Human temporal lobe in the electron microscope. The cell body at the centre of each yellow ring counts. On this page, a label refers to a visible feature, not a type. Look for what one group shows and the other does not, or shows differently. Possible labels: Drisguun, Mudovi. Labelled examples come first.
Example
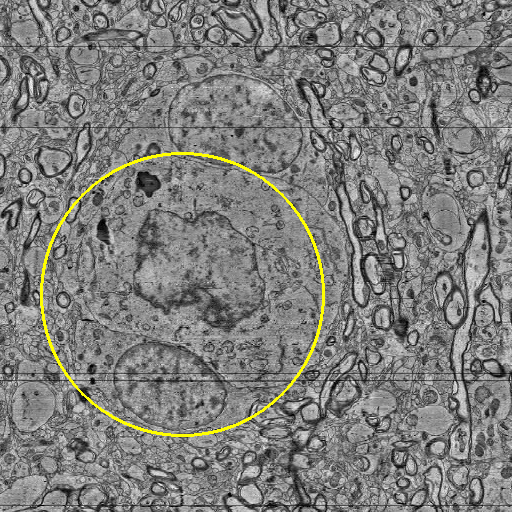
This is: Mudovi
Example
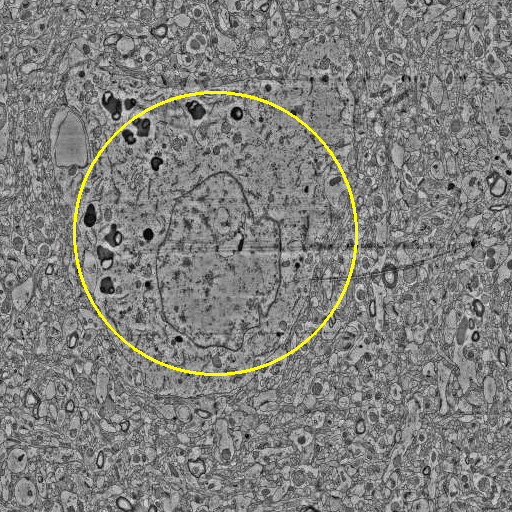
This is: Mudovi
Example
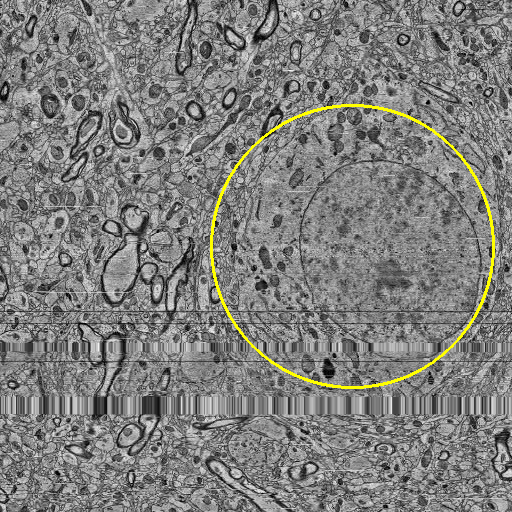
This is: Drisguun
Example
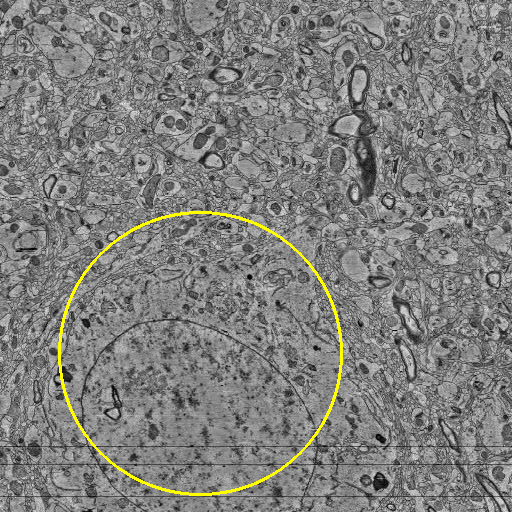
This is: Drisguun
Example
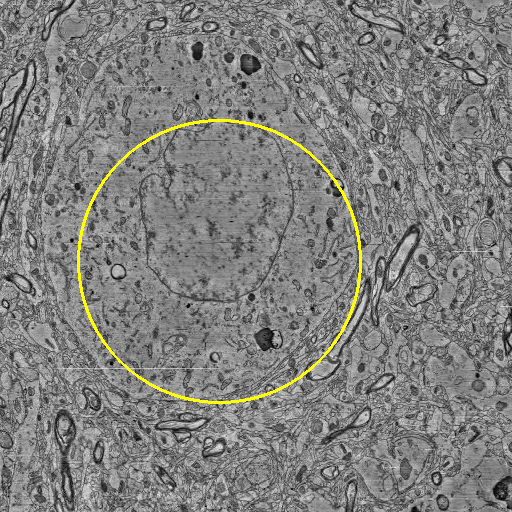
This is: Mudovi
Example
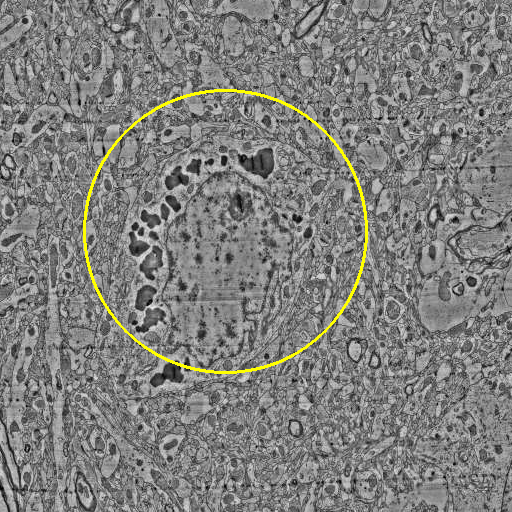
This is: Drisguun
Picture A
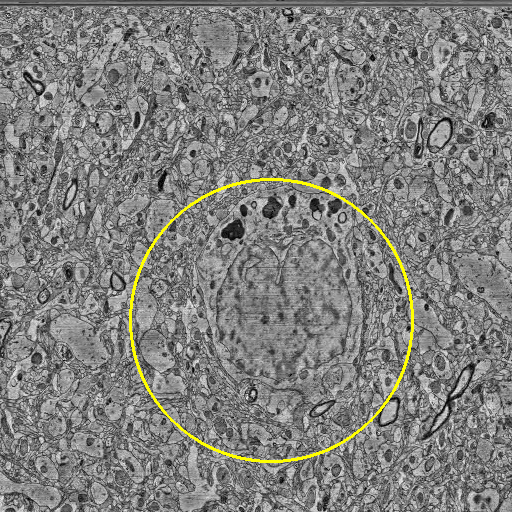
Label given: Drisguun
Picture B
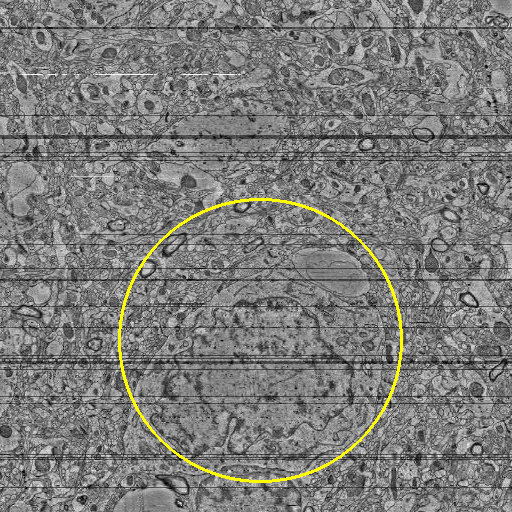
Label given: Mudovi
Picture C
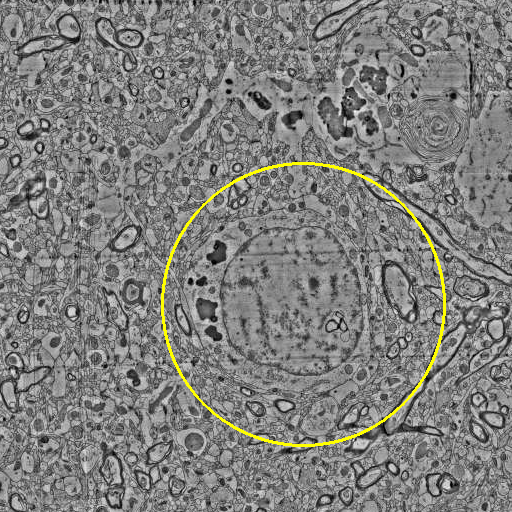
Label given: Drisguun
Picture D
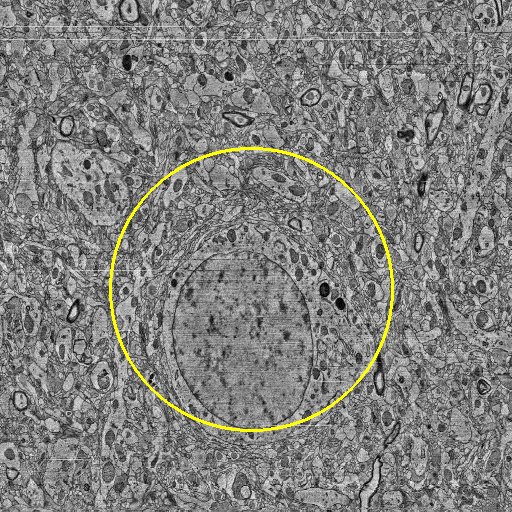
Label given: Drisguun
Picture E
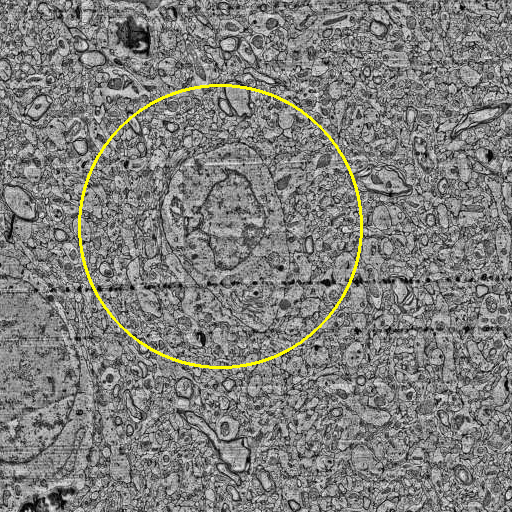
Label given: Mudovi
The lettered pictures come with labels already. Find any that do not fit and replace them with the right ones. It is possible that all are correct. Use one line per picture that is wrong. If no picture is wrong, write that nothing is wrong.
A is labelled Drisguun; correct label: Mudovi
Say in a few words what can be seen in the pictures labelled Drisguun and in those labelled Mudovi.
Drisguun: smooth nuclear envelopes without deep folds; Mudovi: deeply folded or indented nuclear envelopes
